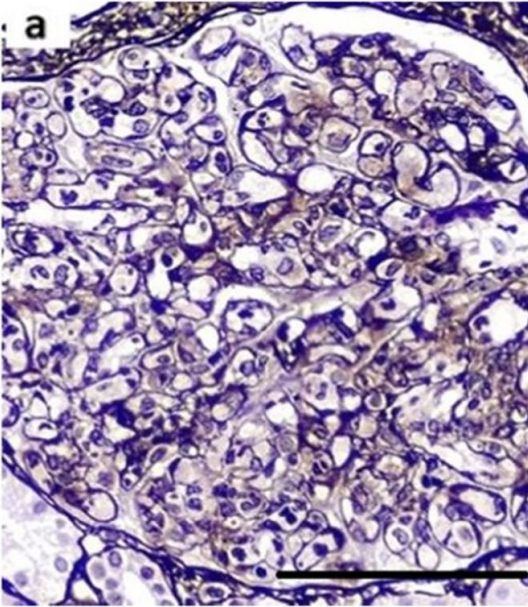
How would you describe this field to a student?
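This is a single kidney glomerulus seen in a silver stain, with its capillary basement membranes drawn as fine dark purple-black lines. The whole tuft is enlarged and crowded with nuclei, far more than a normal glomerulus shows. The black membranes outline the loops throughout the tuft, and a brownish tinge lies in the stalk regions between them. Around the tuft the capsule's thin dark line can be followed, and a little tubular tissue shows at the lower edge.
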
